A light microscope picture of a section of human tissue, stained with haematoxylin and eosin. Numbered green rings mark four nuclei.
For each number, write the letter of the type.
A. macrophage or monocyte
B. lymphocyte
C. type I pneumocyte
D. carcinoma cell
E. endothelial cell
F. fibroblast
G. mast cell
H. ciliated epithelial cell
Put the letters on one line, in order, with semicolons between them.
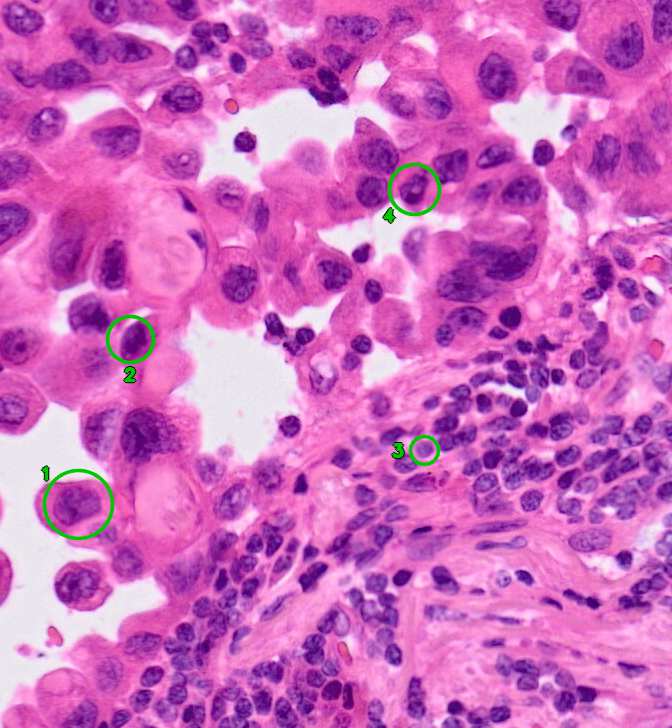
D; D; B; D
